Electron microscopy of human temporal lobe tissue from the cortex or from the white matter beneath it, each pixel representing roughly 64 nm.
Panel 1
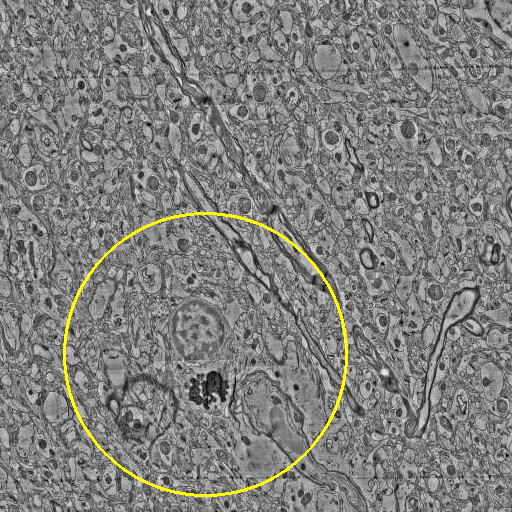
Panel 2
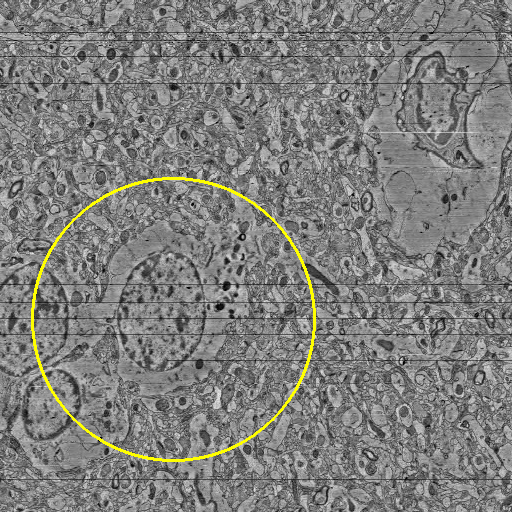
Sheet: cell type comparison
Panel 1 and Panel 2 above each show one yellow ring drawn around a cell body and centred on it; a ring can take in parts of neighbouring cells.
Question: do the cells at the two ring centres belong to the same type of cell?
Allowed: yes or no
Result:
no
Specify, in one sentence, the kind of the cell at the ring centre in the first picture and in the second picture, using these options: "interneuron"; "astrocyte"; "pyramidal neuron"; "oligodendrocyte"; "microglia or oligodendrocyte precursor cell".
So the first is an oligodendrocyte, the second an astrocyte.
